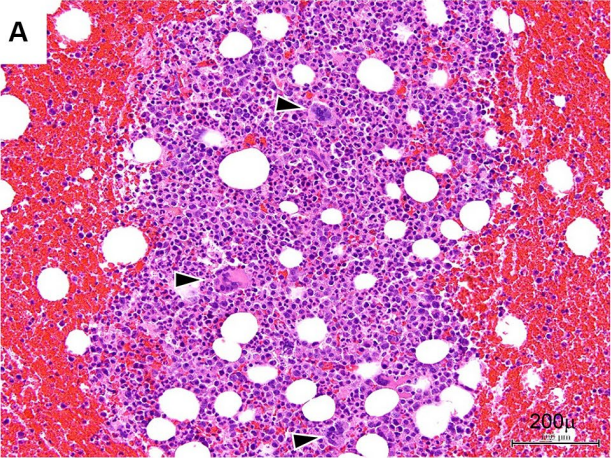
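Bone marrow with a central cellular area of mixed haematopoietic cells among round empty fat spaces, flanked on both sides by sheets of red blood cells. Several scattered megakaryocytes stand out as very large cells with abundant pink cytoplasm and large, lobulated dark nuclei. The remaining cells are small to medium, round, with dark purple nuclei, densely packed. Fat spaces are clear, round to oval and of varied size, scattered throughout the cellular area.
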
